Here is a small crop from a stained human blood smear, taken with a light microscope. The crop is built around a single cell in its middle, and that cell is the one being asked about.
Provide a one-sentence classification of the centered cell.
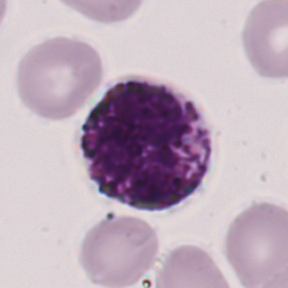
The crop shows a basophil in its centre.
